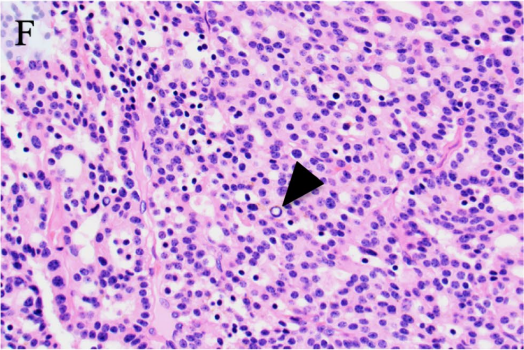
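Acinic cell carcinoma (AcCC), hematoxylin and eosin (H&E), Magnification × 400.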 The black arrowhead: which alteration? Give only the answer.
Nuclear inclusions.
